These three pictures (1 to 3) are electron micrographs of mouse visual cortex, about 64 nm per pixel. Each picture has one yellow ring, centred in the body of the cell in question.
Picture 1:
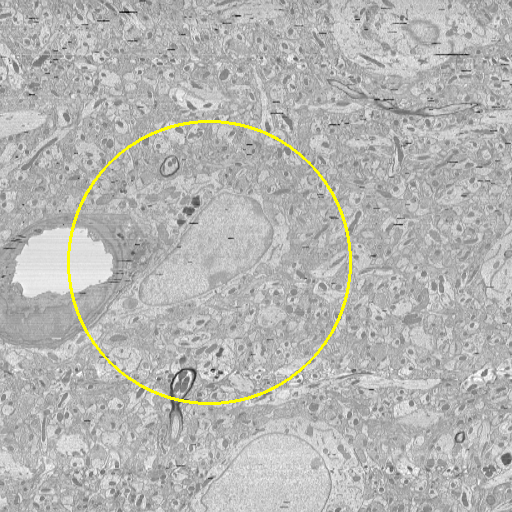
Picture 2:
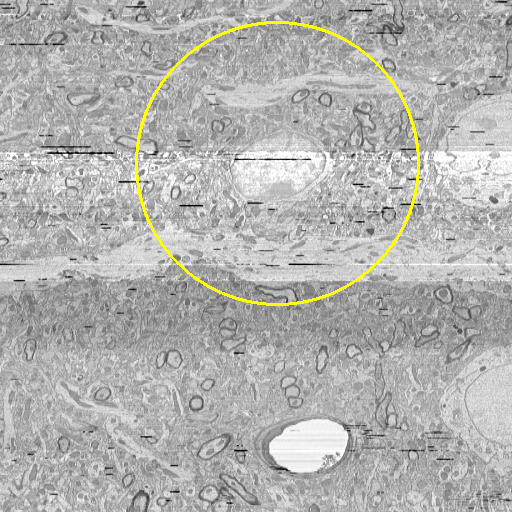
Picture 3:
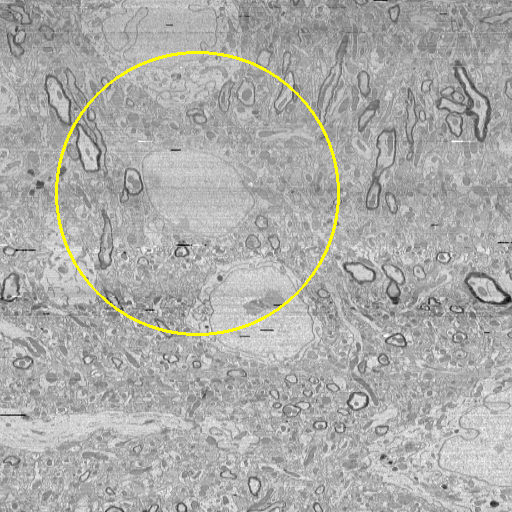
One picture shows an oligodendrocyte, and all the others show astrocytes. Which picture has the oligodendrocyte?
The cell in picture 2 is the oligodendrocyte.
